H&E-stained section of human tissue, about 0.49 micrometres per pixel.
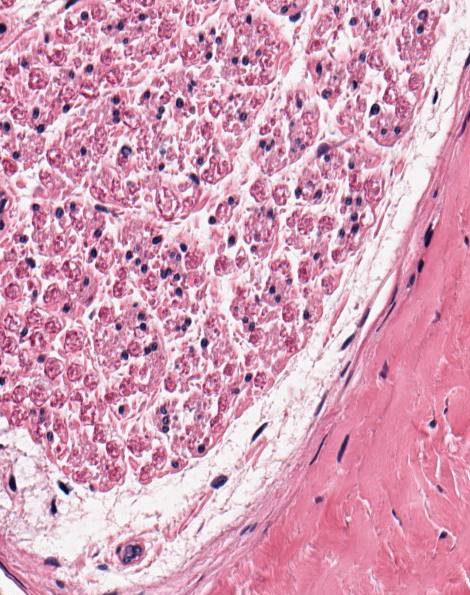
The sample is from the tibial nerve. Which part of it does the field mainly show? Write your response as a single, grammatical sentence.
Visible in this section of human tissue is the part called nerve fascicle.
